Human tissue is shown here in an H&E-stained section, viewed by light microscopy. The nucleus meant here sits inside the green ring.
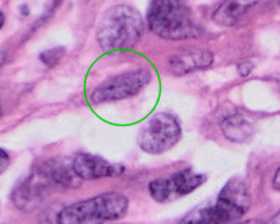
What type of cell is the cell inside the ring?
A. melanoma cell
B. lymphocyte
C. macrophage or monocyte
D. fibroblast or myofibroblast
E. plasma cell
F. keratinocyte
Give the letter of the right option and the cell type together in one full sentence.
Option A gives the correct identity of the cell inside the ring, which is a melanoma cell.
